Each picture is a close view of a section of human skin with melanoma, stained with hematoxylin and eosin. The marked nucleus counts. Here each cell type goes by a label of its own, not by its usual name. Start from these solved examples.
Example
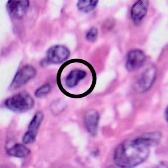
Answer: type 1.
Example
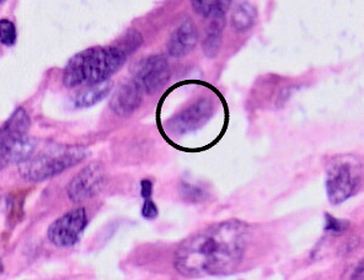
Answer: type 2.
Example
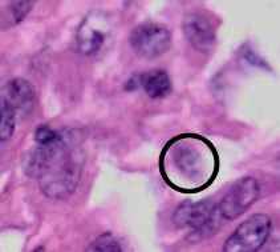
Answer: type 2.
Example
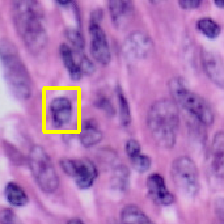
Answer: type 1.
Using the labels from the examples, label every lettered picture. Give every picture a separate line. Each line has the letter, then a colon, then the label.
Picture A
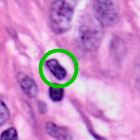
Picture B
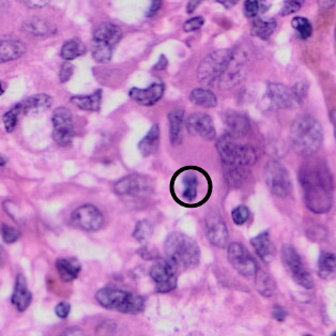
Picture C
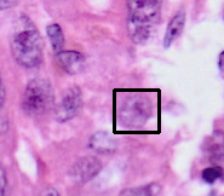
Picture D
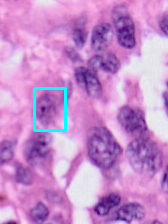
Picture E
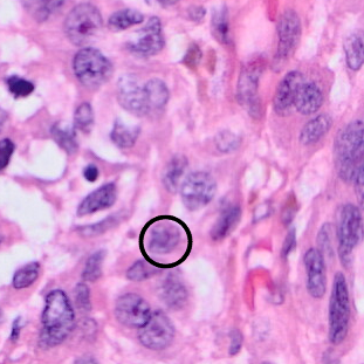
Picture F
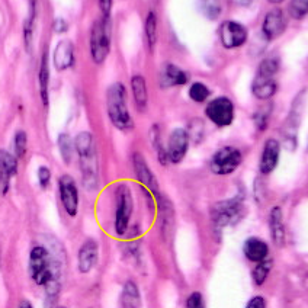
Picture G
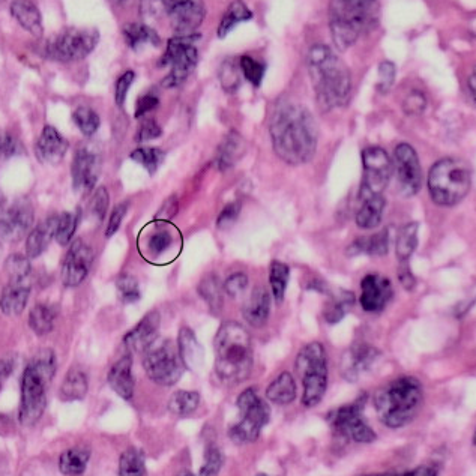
A: type 1.
B: type 1.
C: type 2.
D: type 2.
E: type 2.
F: type 1.
G: type 1.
